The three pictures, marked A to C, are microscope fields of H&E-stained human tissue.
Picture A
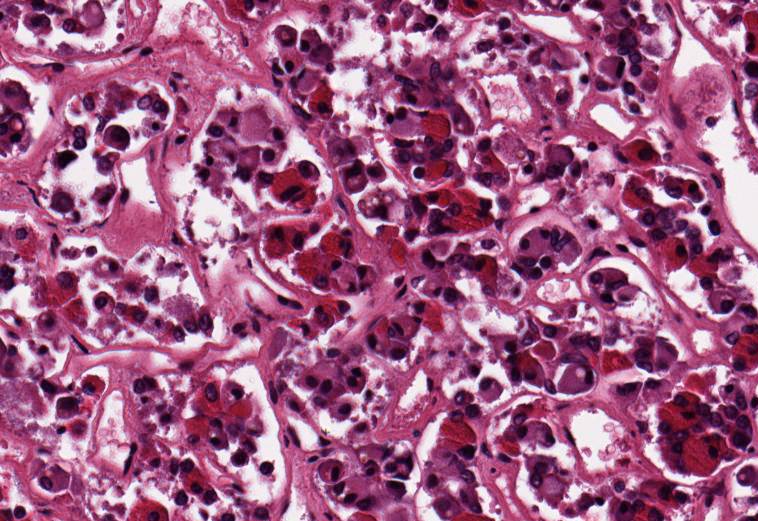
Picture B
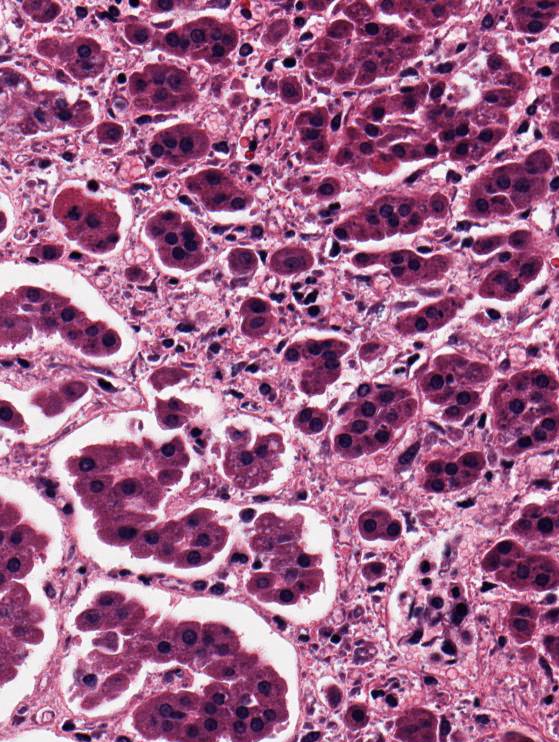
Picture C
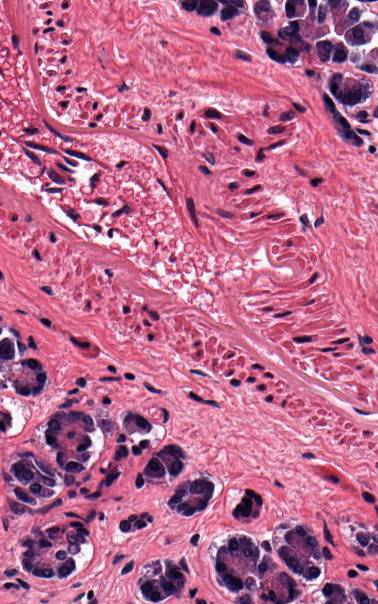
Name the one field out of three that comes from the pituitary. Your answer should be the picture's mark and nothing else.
A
